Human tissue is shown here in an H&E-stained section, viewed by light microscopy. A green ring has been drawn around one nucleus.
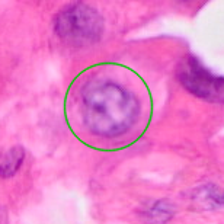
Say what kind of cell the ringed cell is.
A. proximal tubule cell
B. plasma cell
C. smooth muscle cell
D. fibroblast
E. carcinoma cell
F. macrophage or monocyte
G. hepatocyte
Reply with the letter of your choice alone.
E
